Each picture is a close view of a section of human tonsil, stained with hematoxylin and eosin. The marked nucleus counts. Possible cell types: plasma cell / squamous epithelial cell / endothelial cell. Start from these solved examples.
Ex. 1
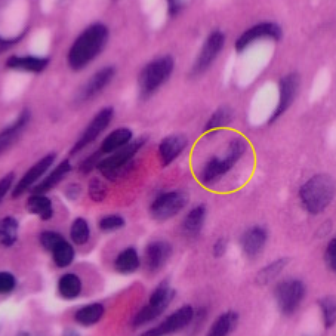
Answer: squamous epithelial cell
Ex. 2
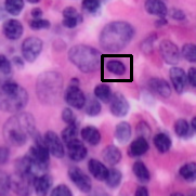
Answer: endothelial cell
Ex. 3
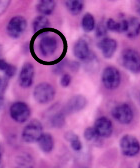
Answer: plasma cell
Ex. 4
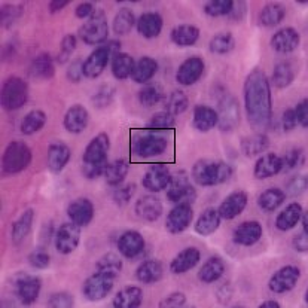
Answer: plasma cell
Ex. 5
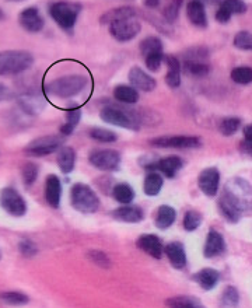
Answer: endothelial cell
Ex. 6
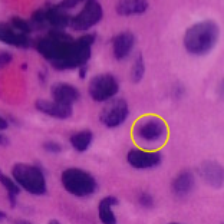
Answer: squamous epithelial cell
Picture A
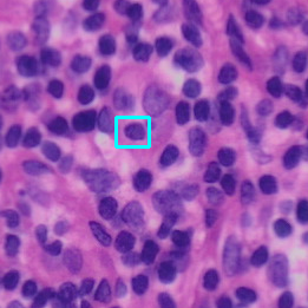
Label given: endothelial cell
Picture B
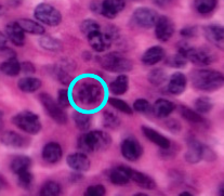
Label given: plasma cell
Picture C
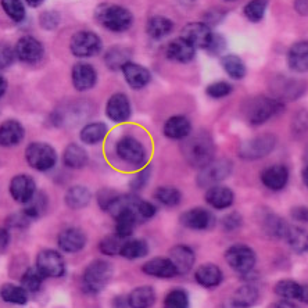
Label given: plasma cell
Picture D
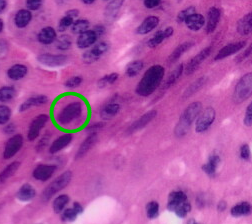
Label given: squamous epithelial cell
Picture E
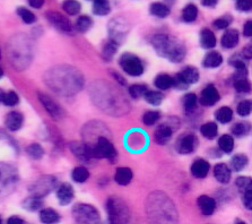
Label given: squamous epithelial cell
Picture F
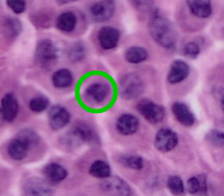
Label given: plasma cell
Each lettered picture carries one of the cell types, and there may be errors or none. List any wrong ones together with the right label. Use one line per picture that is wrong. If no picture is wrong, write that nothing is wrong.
Wrong: E (squamous epithelial cell); correct: endothelial cell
